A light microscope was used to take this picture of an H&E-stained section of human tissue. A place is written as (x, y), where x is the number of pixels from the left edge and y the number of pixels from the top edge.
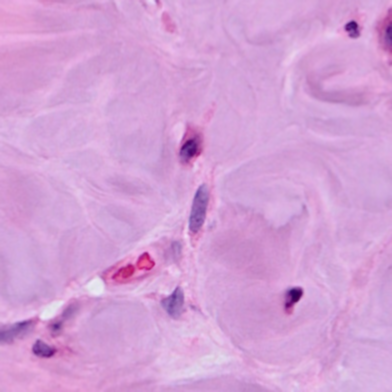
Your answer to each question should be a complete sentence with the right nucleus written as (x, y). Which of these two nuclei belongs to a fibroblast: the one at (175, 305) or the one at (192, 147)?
The nucleus positioned at (175, 305) is the one that belongs to a fibroblast.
